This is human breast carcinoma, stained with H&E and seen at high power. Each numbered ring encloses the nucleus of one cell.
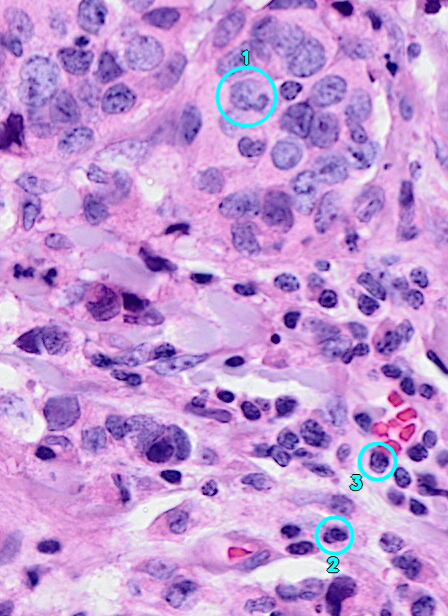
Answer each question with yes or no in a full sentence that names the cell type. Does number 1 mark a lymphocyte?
No. Cell number 1 is a carcinoma cell, not a lymphocyte.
